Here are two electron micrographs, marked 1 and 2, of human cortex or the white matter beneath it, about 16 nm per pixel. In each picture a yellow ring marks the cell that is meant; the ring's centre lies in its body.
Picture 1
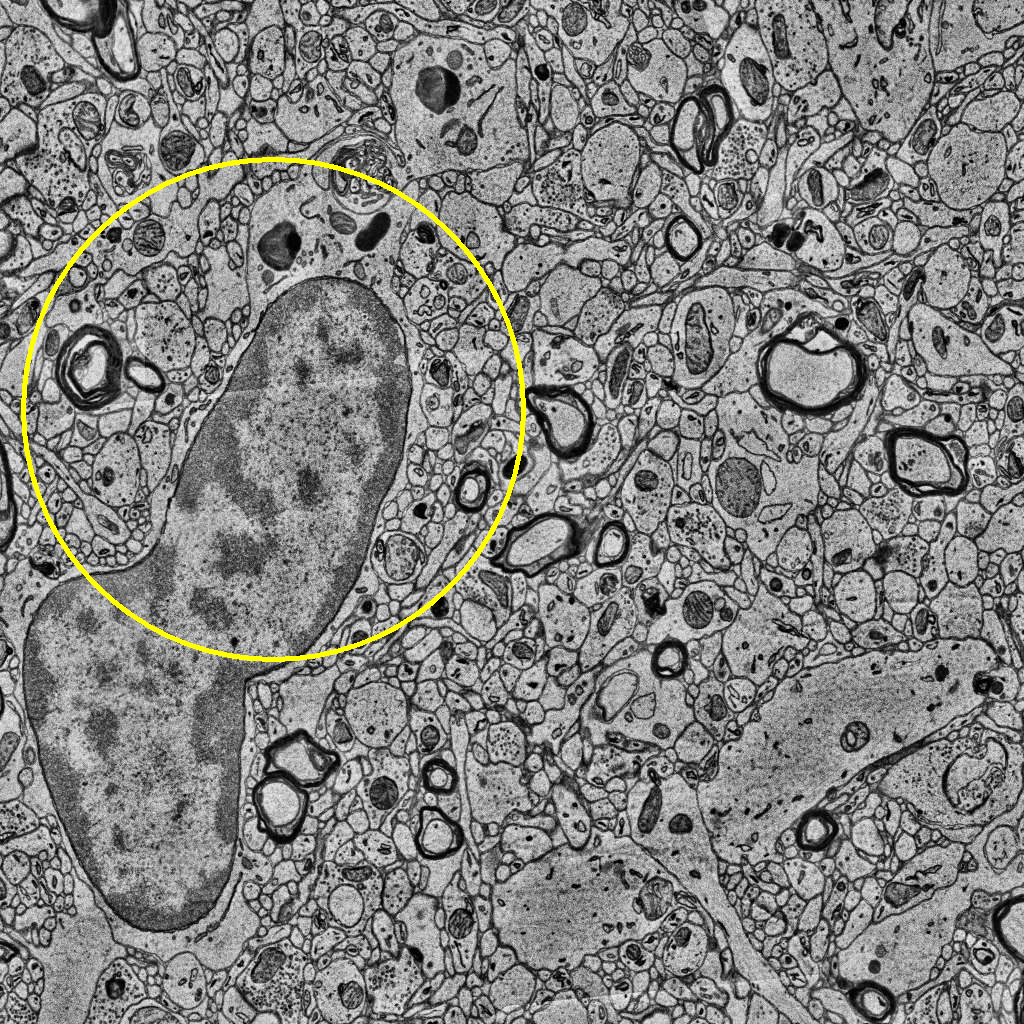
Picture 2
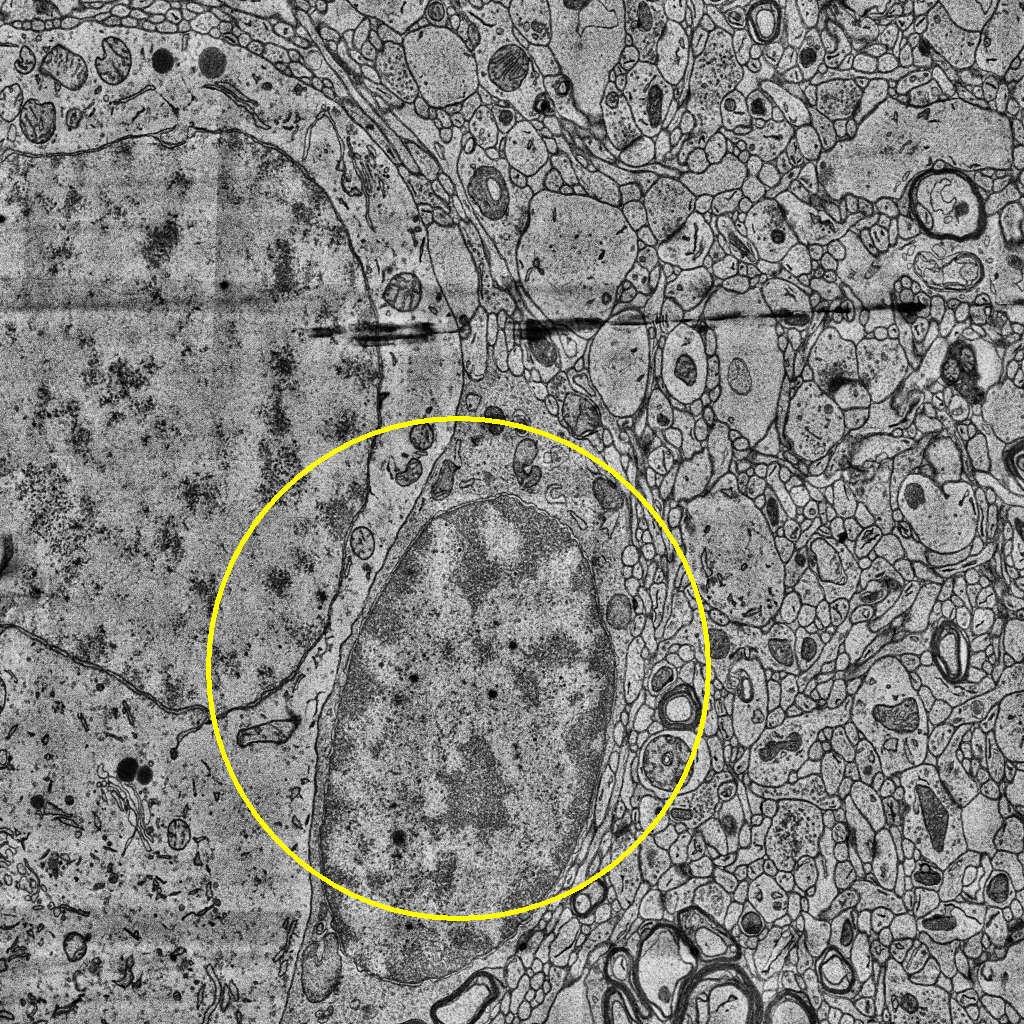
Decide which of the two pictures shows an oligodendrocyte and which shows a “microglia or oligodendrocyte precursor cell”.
Picture 1 is of a “microglia or oligodendrocyte precursor cell”, and picture 2 is of an oligodendrocyte.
